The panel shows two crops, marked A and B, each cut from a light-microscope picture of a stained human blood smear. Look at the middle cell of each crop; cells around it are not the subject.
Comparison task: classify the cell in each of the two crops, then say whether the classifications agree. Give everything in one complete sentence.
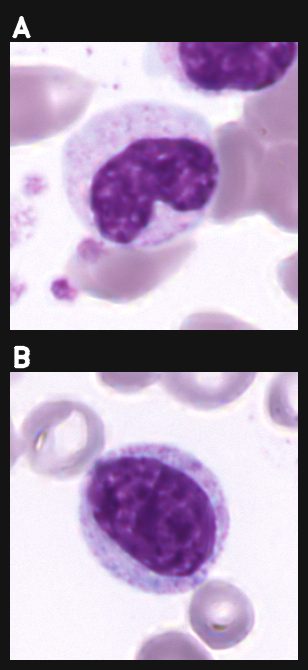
Yes, they do, both crops show metamyelocytes.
